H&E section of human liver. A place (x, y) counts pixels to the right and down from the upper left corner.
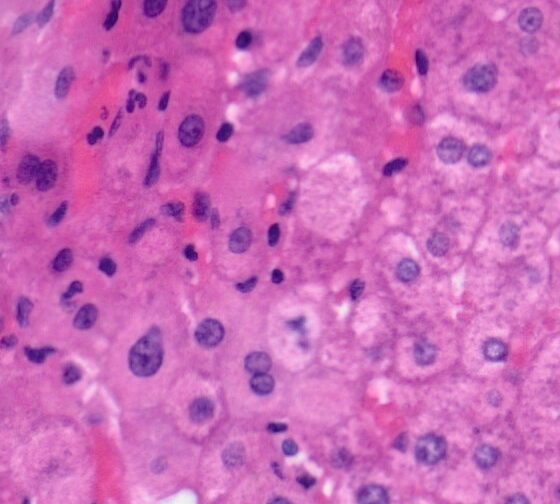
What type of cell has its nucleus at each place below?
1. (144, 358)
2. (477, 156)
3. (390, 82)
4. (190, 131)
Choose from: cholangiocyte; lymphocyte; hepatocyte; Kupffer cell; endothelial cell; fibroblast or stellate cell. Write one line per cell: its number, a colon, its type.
1: hepatocyte
2: hepatocyte
3: endothelial cell
4: hepatocyte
